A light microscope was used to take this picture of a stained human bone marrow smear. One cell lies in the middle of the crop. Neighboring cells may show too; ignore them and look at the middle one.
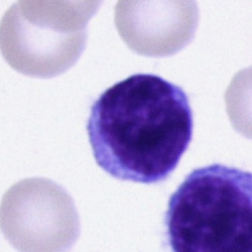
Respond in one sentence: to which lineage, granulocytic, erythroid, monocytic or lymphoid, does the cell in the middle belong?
The cell occupying the middle of the crop is classified within the lymphoid lineage.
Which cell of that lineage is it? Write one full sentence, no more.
Whatever else lies nearby, the middle cell is a lymphocyte.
